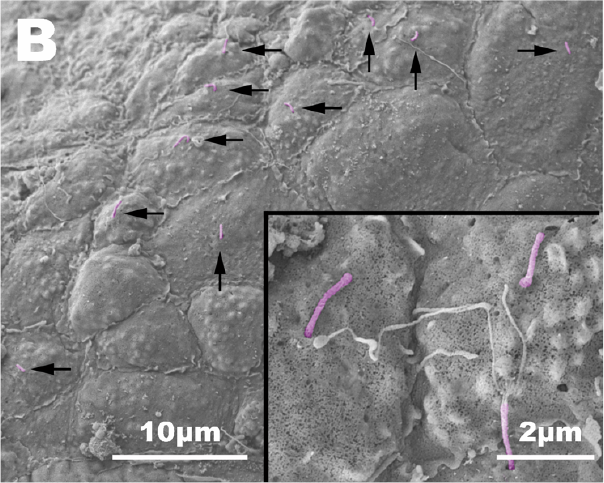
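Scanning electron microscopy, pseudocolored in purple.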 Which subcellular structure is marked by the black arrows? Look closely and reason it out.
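Short slender rod-like projections, colored purple, stick out from the apical cell surfaces. Each arrow points to one such projection, one per cell. On this evidence: primary cilia.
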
